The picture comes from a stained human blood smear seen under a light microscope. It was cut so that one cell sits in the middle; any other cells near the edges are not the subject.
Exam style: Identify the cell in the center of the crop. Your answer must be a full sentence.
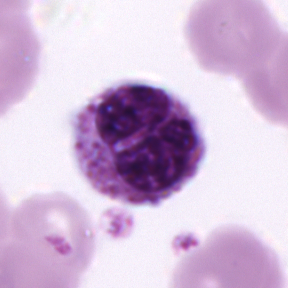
The target cell in the middle of the crop is an eosinophil.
